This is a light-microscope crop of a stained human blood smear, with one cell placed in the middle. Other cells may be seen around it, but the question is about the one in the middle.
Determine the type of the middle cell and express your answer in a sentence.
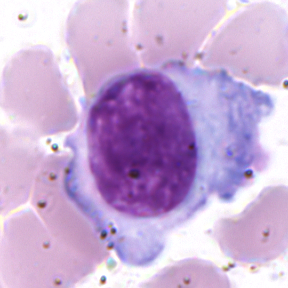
The cell at the middle of the frame should be recorded as a plasma cell.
